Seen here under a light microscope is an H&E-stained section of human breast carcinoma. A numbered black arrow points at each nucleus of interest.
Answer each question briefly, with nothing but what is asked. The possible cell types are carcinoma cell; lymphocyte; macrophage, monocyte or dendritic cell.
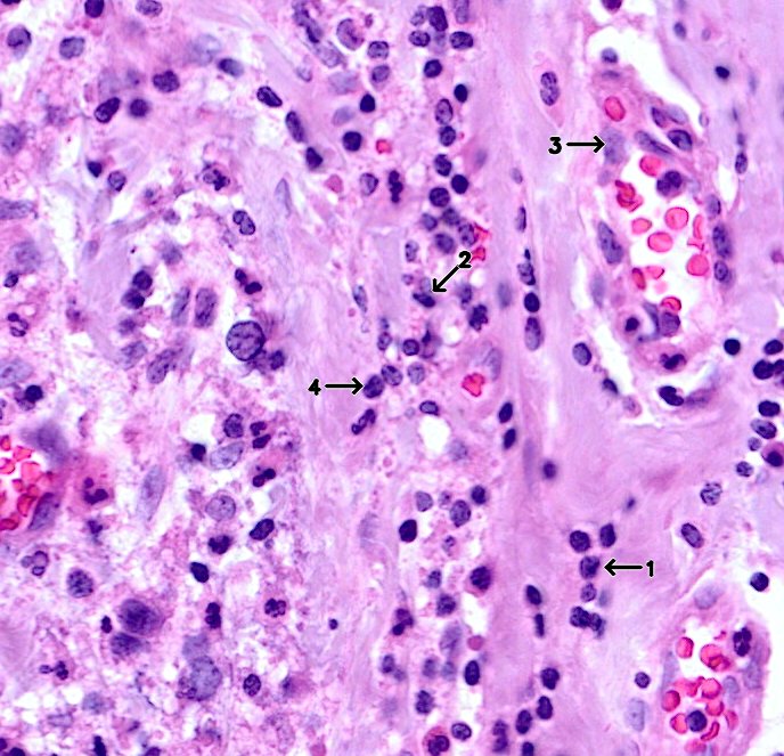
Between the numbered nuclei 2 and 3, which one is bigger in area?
3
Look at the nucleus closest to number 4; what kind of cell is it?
lymphocyte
